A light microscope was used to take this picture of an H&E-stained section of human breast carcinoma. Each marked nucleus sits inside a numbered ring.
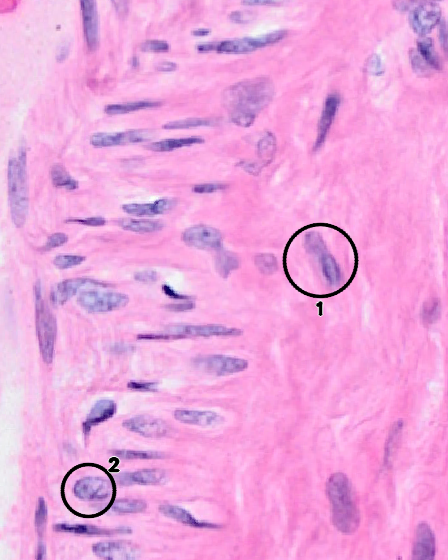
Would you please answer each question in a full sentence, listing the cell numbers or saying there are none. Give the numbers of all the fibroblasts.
There is just one numbered cell that is a fibroblast, and it is cell 1.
